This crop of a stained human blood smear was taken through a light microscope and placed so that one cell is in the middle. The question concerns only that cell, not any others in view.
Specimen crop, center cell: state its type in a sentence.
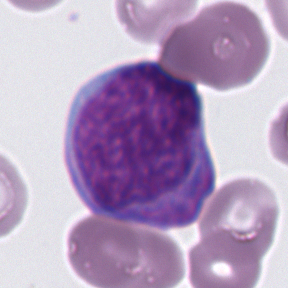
The crop centres on a single cell, and that cell is an atypical promyelocyte.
